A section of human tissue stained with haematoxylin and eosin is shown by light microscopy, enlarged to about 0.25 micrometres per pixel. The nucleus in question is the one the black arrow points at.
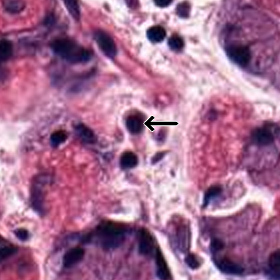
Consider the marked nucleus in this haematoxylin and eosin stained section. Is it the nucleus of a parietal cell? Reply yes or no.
no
